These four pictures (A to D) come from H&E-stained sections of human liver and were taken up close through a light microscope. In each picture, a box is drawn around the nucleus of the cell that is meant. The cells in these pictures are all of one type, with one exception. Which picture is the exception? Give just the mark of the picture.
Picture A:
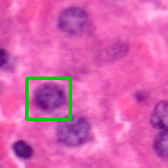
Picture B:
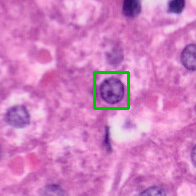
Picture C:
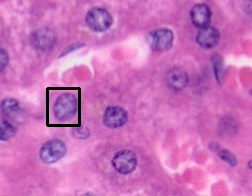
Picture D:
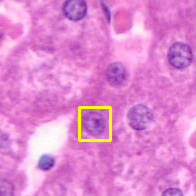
C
